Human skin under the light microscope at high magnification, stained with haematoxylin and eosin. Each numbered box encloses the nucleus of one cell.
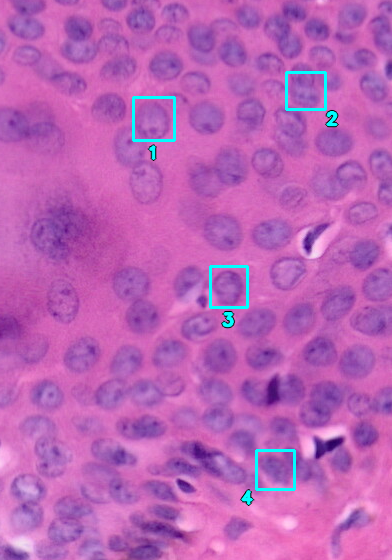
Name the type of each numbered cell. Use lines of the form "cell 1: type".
cell 1: suprabasal keratinocyte
cell 2: suprabasal keratinocyte
cell 3: suprabasal keratinocyte
cell 4: basal keratinocyte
